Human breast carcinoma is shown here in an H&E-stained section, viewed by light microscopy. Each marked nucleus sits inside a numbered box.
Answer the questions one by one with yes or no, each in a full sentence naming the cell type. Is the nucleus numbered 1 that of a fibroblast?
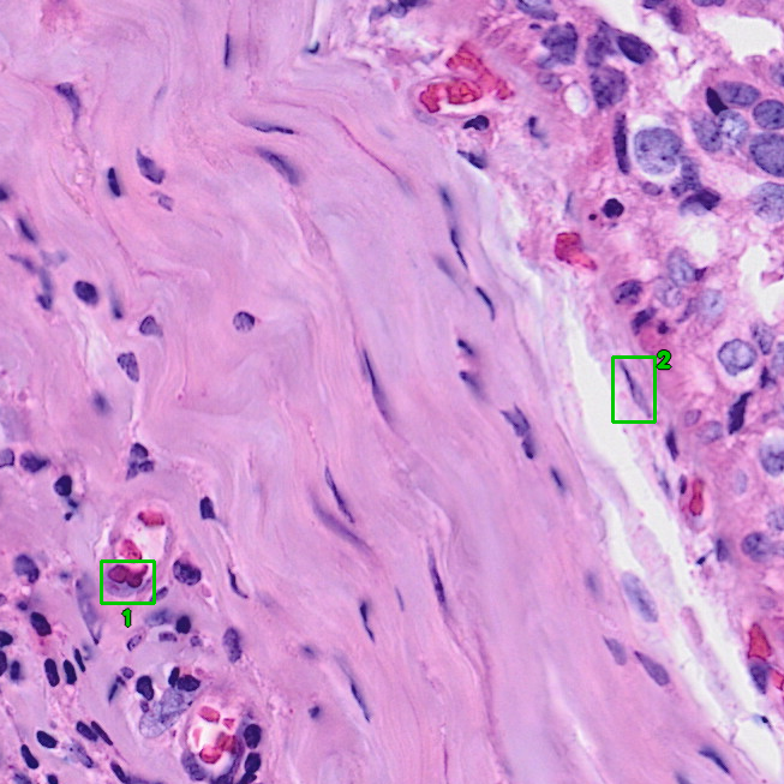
No, it is an endothelial cell, not a fibroblast, that number 1 marks.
